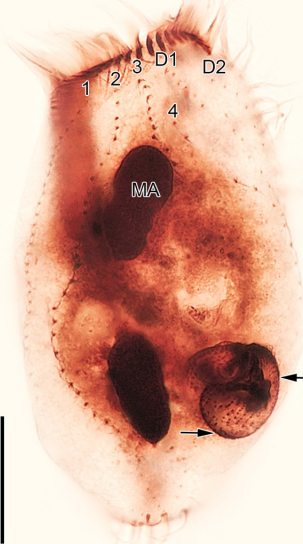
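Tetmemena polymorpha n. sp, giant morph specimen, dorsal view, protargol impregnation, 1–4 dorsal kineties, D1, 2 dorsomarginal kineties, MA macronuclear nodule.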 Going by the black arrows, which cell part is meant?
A: Food vacuoles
